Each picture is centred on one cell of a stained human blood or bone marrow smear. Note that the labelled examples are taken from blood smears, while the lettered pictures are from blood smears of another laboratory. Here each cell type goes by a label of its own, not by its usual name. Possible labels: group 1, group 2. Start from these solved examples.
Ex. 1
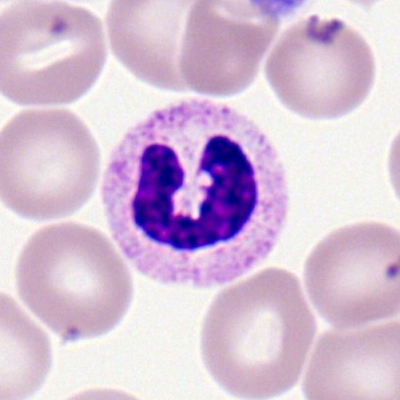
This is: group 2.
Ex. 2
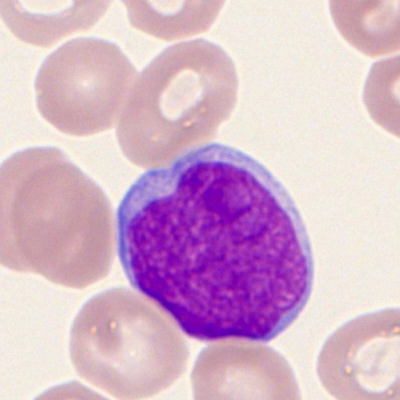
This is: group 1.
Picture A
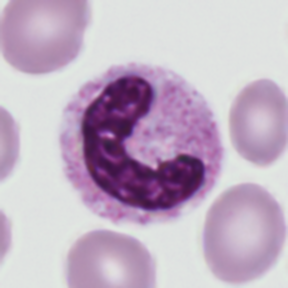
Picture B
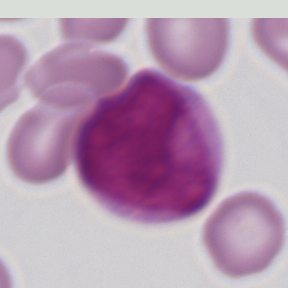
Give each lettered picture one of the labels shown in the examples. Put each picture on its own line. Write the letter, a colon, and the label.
A: group 2.
B: group 1.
